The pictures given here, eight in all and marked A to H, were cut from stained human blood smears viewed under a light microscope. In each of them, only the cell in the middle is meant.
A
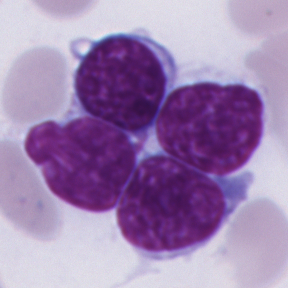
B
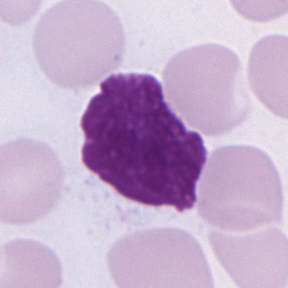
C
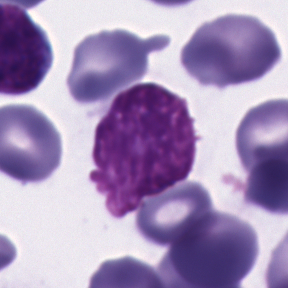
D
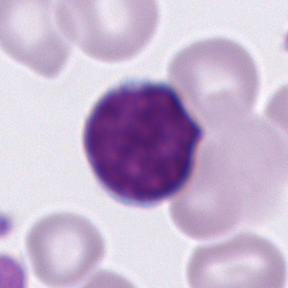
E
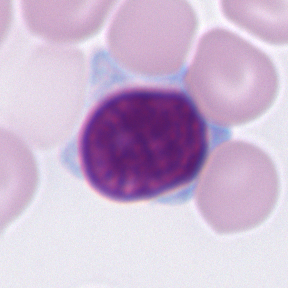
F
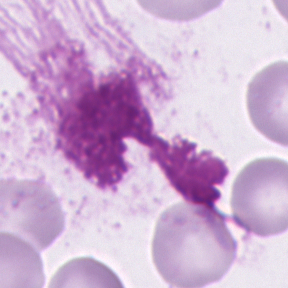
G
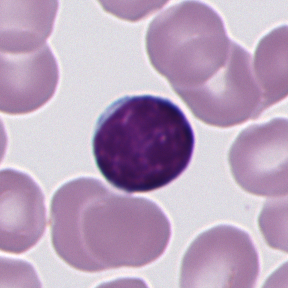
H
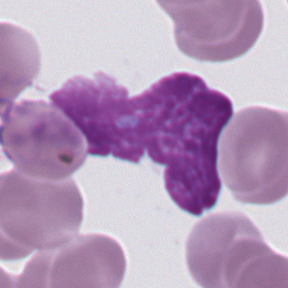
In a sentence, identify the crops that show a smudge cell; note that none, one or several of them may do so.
The cells in crops B, C, F and H are smudge cells.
